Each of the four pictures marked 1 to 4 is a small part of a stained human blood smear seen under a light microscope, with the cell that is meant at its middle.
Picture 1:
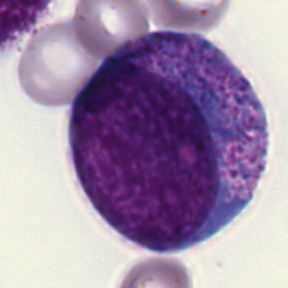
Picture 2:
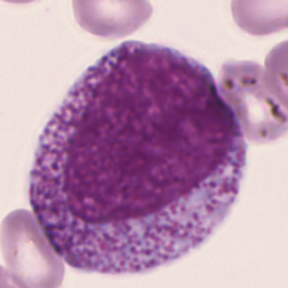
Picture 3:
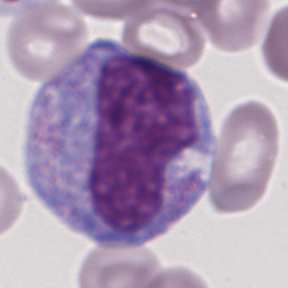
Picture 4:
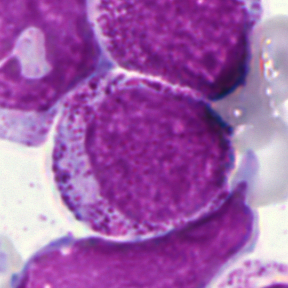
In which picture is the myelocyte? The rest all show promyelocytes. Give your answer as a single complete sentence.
Picture 4 shows the myelocyte.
